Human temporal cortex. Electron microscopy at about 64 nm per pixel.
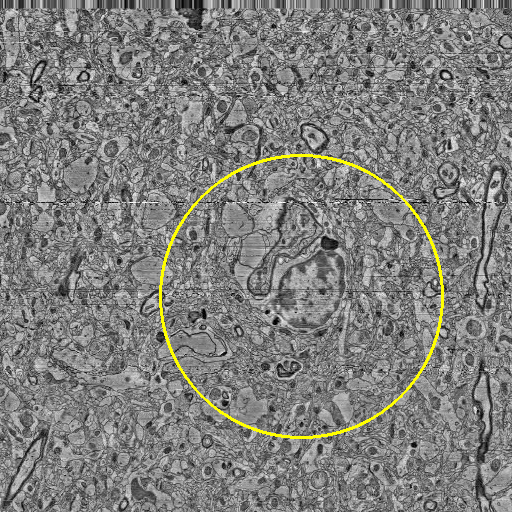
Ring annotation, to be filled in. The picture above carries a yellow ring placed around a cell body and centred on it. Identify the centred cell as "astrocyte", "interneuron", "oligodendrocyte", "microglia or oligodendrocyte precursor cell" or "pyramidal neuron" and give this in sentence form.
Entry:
The cell in the middle of the ring is a microglial cell or oligodendrocyte precursor cell.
